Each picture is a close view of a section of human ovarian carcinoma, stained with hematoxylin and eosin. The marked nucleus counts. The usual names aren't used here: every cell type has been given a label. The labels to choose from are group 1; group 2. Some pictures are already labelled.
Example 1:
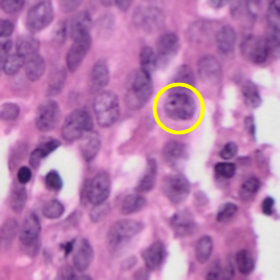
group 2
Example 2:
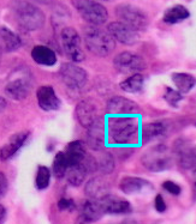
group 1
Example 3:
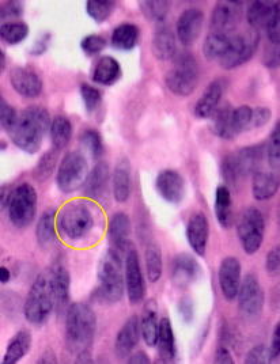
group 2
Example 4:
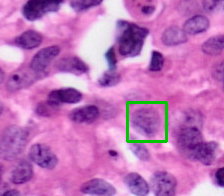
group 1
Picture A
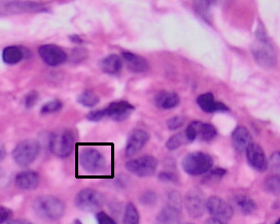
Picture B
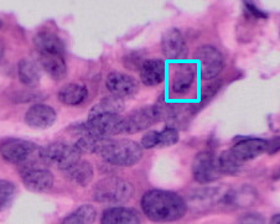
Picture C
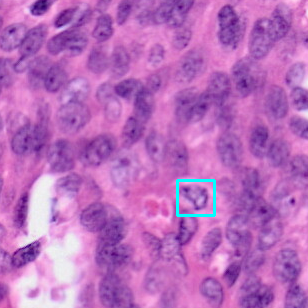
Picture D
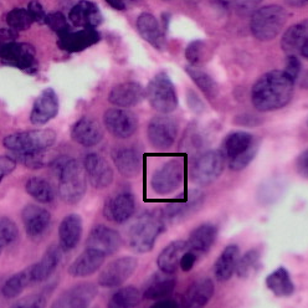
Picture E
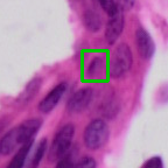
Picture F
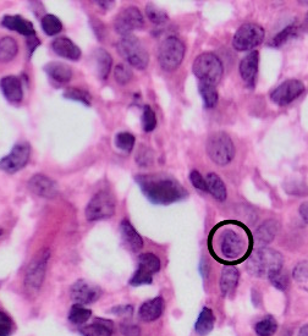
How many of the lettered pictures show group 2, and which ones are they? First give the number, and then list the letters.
3, namely A, C, F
